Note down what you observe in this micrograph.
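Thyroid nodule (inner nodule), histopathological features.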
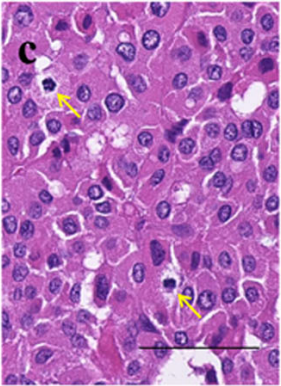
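The cells are polygonal, packed closely, with abundant finely granular pink cytoplasm and fairly distinct cell borders. Nuclei are round to oval, mostly central, with vesicular chromatin and conspicuous nucleoli. A few small spaces resembling tiny follicles or vacuoles appear among the cells. Two cells are in mitosis, their chromatin condensed into dark irregular clumps, standing out against the paler resting nuclei around them.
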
